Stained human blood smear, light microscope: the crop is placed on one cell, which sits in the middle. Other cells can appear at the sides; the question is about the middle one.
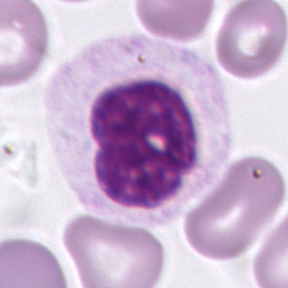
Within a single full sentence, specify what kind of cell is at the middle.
The cell at the centre of the field is a segmented neutrophil.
